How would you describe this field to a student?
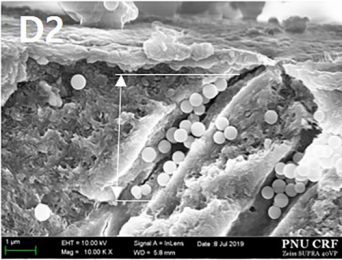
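This is a fractured face of dentin cut along the tubules, showing dentinal tubules running obliquely down from the surface at the top. The fractured matrix between the tubules looks rough and granular. Split tubule channels appear as elongated grooves with smoother walls. Within these channels lie many small, smooth spheres of similar size, lined up in rows along the groove, most numerous in the upper part and thinning out deeper down. A white double-headed arrow with horizontal limit lines marks the depth over which the spheres extend. A few loose spheres also lie on the fractured face.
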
